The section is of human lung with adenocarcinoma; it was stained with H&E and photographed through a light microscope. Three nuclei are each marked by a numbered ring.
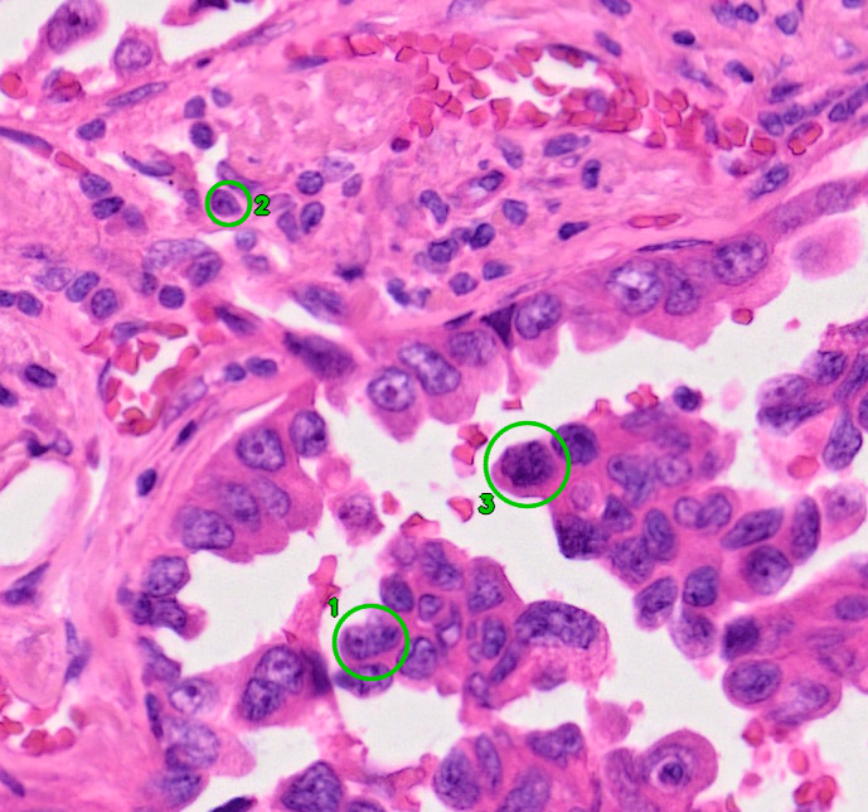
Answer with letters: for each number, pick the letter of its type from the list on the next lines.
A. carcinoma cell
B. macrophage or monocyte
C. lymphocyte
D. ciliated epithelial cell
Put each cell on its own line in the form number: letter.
1: A
2: C
3: A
